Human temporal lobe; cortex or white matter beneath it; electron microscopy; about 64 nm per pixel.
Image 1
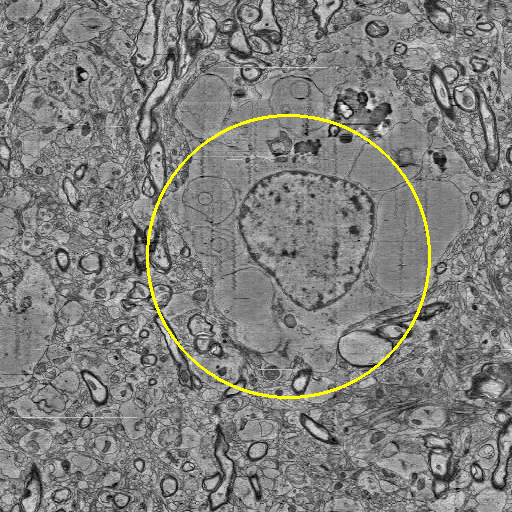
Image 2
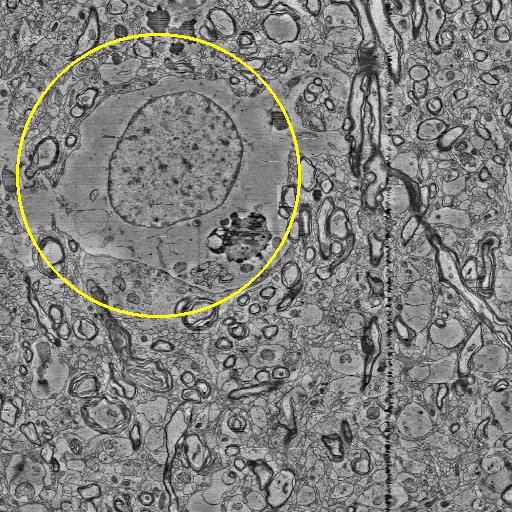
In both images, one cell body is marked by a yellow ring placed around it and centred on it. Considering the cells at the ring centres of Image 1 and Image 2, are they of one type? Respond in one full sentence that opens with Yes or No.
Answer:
Yes, a single type applies to the ring-centred cells of both Image 1 and Image 2.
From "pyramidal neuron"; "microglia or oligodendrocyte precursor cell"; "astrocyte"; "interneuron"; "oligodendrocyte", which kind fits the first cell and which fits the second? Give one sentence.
In both pictures the ring is centred on an astrocyte.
